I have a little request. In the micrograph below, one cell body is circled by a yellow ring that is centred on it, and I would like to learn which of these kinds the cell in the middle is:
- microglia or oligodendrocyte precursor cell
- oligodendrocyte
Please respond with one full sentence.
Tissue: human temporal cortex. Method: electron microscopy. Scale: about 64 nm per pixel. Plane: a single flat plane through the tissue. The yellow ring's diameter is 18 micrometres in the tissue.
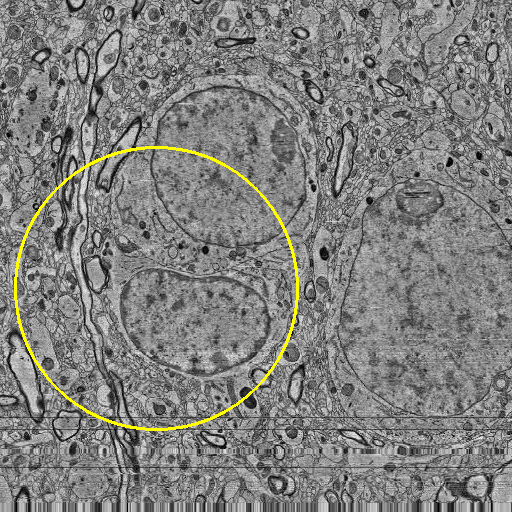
The cell sitting in the middle of the yellow ring in the micrograph is a microglial cell or oligodendrocyte precursor cell.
